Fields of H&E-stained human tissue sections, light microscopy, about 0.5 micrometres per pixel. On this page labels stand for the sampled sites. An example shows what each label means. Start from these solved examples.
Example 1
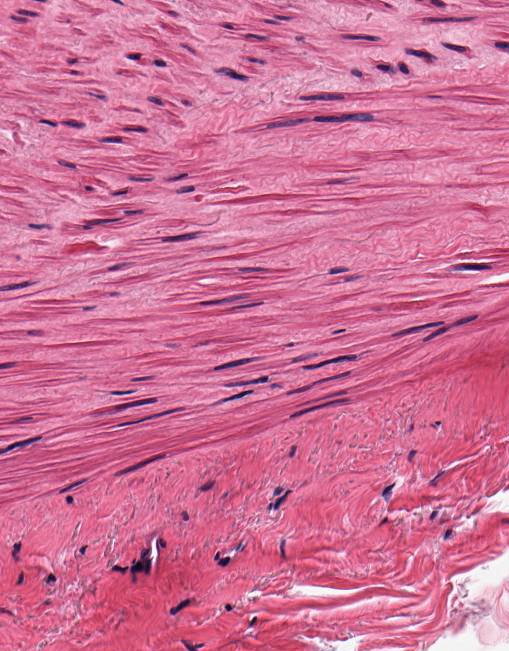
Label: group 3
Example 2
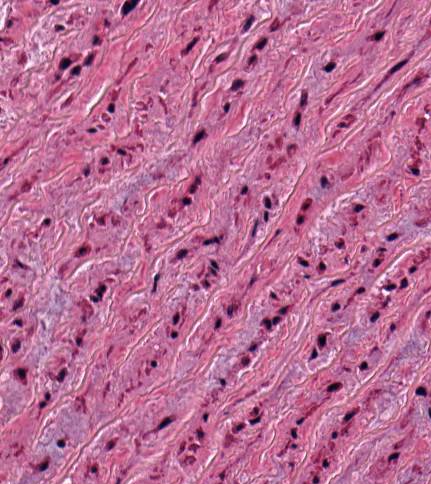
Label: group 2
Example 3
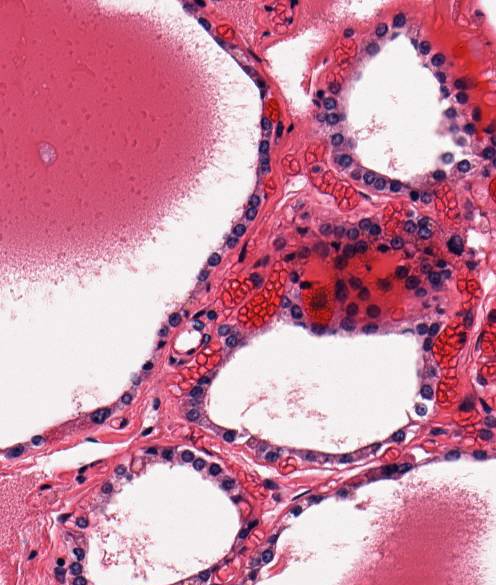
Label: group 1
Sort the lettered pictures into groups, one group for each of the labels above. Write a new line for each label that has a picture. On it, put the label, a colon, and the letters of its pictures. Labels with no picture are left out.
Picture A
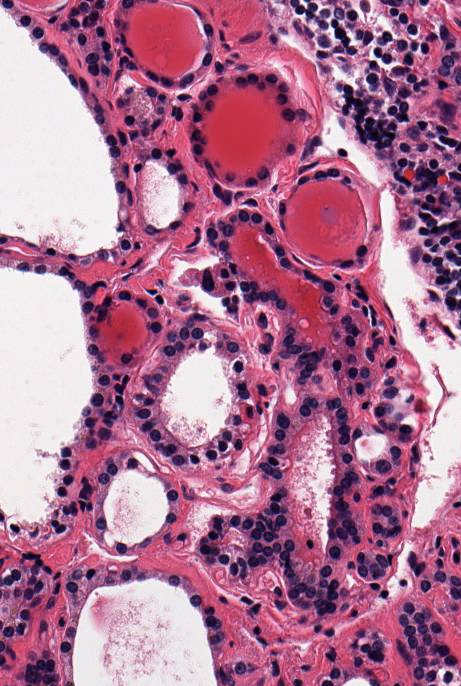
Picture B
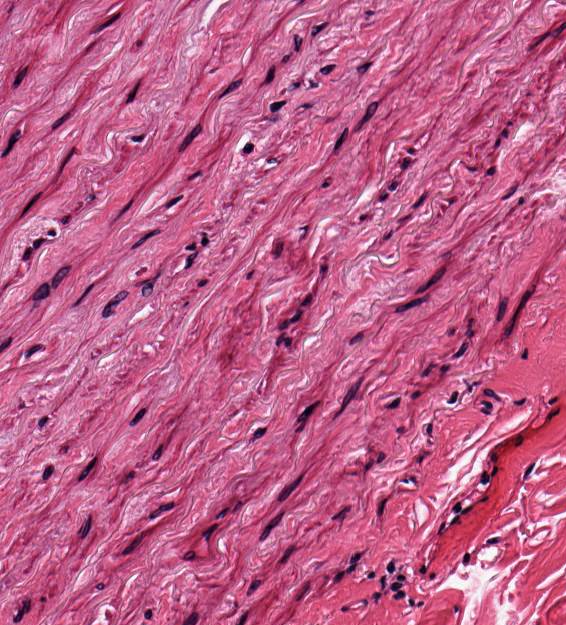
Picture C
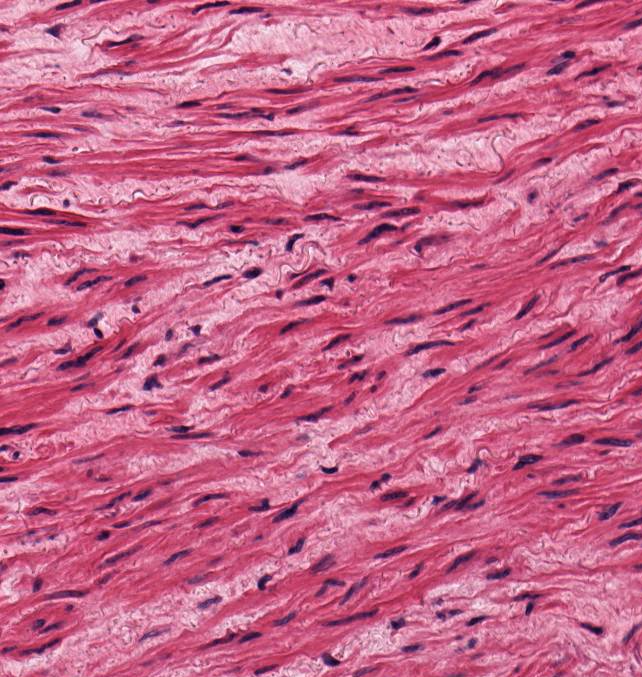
group 3: C
group 2: B
group 1: A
